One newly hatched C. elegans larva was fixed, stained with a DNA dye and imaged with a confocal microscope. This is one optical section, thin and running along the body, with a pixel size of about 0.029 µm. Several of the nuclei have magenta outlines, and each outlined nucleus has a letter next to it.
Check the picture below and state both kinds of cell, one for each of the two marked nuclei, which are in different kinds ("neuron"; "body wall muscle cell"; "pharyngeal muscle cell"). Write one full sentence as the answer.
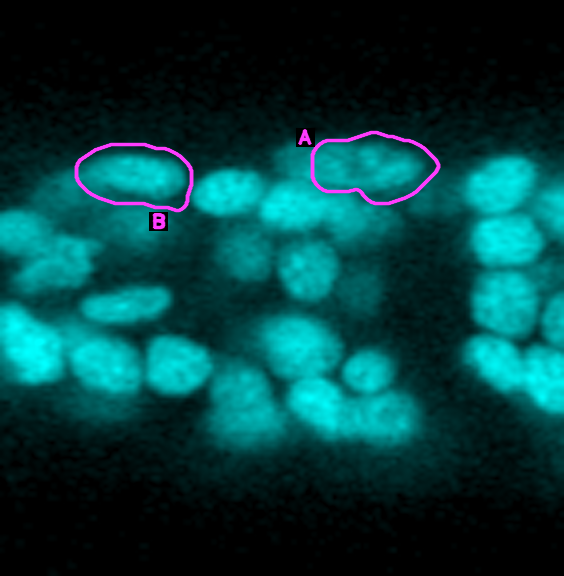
B belongs to a neuron, and A to a body wall muscle cell.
